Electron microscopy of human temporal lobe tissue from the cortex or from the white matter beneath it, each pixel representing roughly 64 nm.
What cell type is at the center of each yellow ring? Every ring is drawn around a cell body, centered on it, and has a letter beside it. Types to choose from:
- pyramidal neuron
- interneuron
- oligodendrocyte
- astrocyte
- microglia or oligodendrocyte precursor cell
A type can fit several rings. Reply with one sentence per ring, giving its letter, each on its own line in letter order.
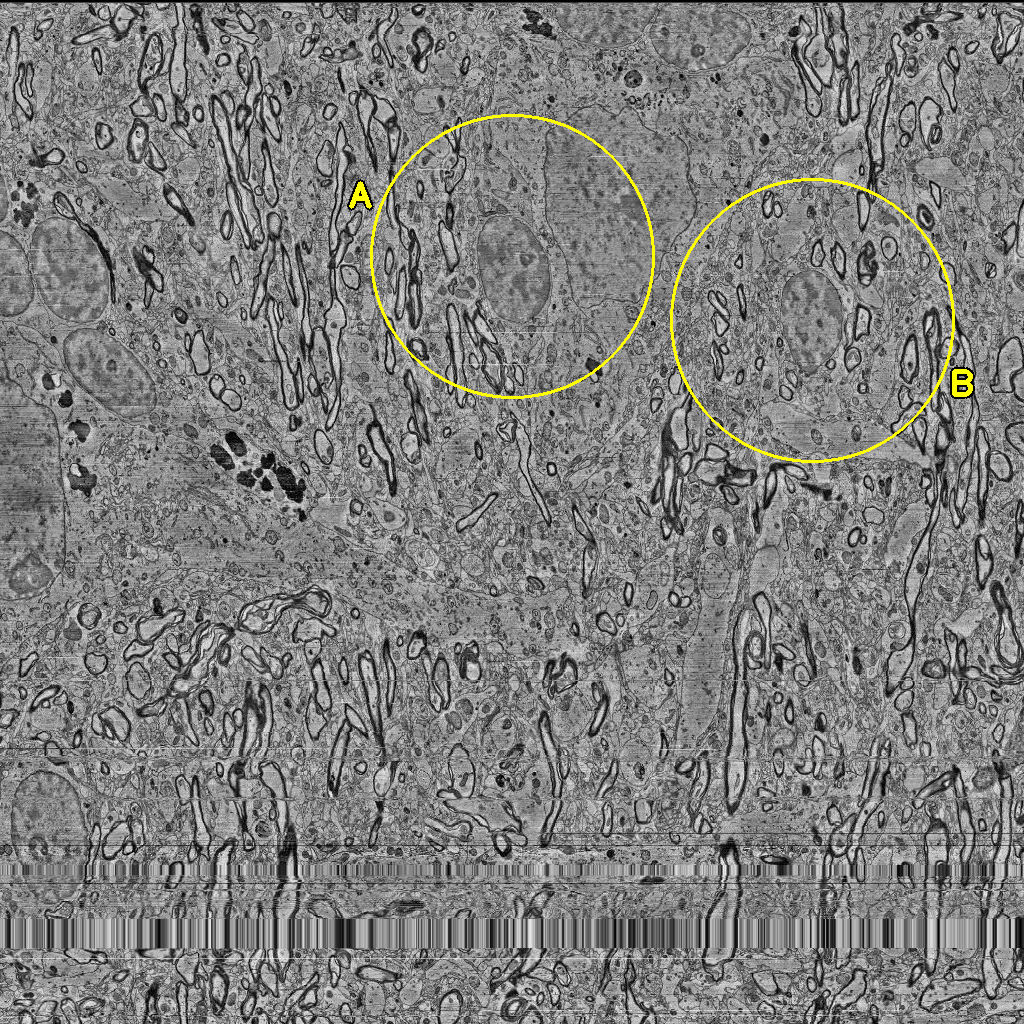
Ring A is placed around an oligodendrocyte.
Ring B is placed around a microglial cell or oligodendrocyte precursor cell.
